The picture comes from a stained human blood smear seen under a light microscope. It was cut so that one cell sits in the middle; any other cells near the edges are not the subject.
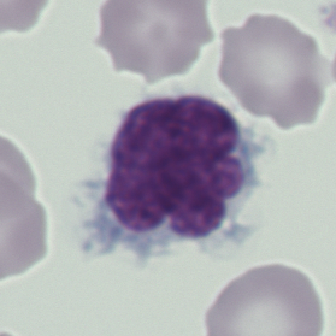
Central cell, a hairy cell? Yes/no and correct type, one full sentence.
Yes, at the centre of the crop lies a hairy cell.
